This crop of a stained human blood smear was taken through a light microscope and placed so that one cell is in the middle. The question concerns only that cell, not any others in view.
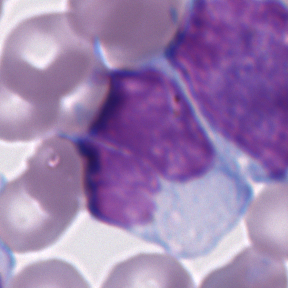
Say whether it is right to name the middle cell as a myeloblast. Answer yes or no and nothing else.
yes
